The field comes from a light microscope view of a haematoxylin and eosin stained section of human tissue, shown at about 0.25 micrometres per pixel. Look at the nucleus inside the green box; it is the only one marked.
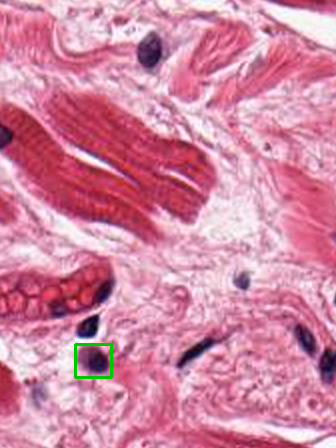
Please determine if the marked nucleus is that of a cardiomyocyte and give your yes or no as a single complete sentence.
No, the cell bearing the marked nucleus is not a cardiomyocyte but a supporting cell.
